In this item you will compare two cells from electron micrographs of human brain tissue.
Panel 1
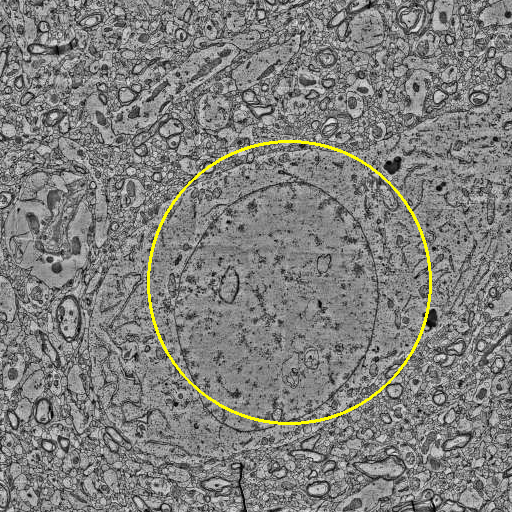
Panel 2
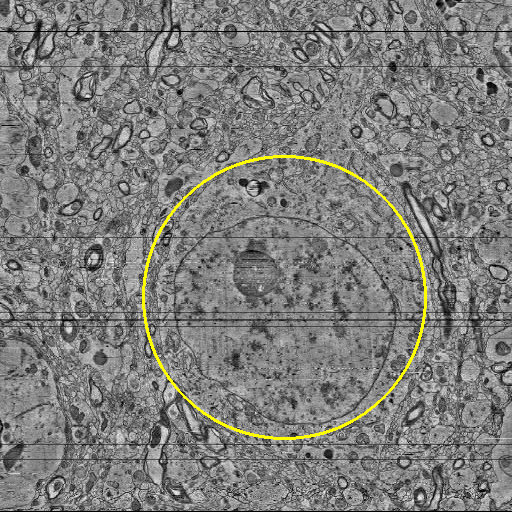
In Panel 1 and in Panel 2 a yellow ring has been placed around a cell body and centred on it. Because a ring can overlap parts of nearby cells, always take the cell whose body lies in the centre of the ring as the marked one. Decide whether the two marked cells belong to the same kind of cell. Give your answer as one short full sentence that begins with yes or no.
Yes, the two marked cells belong to the same kind of cell.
